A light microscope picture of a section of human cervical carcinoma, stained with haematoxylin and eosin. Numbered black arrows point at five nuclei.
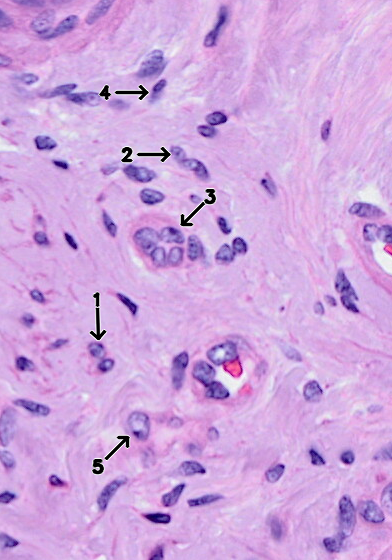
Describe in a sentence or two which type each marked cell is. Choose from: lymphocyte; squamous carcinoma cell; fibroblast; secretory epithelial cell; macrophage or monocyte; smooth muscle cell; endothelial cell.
Cell 1 is a smooth muscle cell, cell 2 is a fibroblast, cell 3 is an endothelial cell, cell 4 is a fibroblast and cell 5 is an endothelial cell.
